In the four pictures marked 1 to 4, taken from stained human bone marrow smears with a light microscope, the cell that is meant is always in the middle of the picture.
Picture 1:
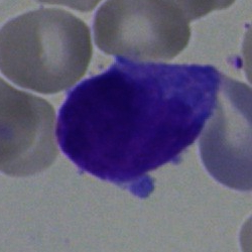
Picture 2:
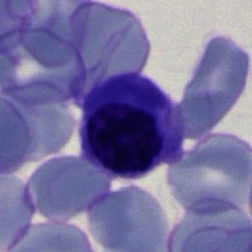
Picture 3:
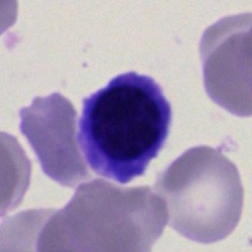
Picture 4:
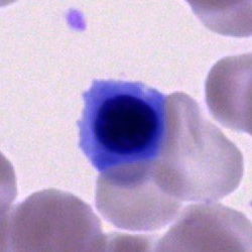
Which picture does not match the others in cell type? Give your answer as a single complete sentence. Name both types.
Picture 1 is the odd one out: it shows a blast, while the others show erythroblasts.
